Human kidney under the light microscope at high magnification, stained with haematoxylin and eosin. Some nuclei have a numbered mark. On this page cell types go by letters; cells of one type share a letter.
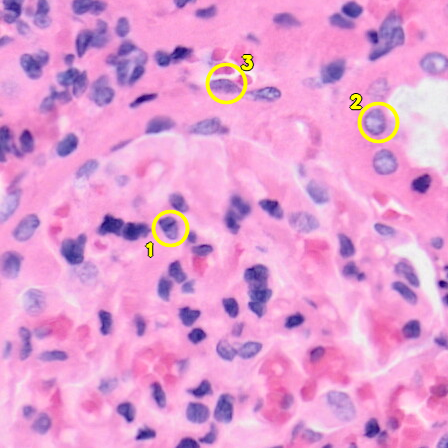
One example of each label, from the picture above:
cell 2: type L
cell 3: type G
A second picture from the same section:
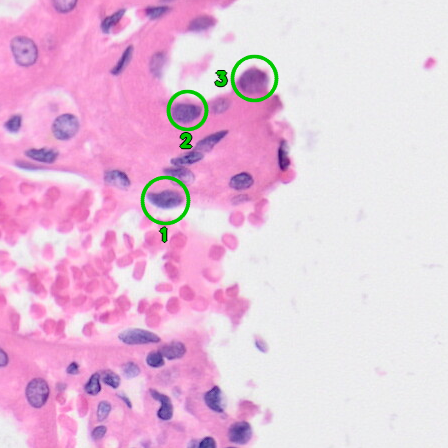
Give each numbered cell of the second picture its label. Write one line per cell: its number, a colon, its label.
1: type G
2: type L
3: type L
